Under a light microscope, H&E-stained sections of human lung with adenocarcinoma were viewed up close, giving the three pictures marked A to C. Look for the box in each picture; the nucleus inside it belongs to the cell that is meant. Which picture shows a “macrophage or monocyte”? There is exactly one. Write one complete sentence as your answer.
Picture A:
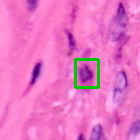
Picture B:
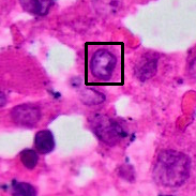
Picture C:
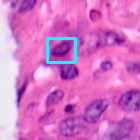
Picture B shows the “macrophage or monocyte”.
